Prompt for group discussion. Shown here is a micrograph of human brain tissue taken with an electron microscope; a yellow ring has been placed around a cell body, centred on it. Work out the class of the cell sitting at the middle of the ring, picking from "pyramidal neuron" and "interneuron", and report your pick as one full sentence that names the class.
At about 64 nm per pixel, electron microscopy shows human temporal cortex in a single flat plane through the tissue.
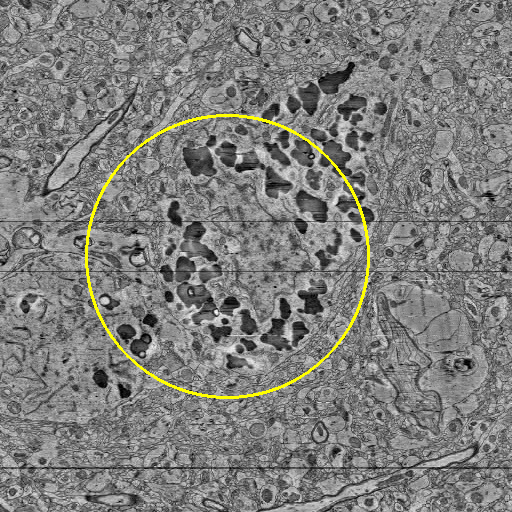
The cell sitting at the middle of the yellow ring is an interneuron.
